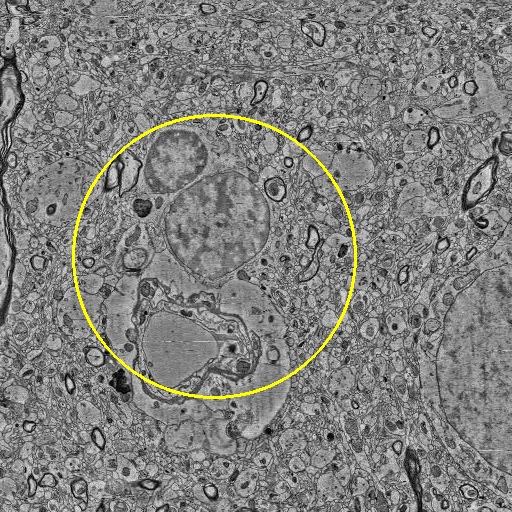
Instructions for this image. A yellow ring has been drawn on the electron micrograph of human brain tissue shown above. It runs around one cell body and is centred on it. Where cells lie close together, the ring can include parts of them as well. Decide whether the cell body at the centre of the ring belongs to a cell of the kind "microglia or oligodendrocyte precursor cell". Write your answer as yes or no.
no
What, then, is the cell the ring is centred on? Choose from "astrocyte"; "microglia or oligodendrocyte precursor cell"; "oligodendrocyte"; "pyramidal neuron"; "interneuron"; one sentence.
The ring holds an oligodendrocyte at its centre.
